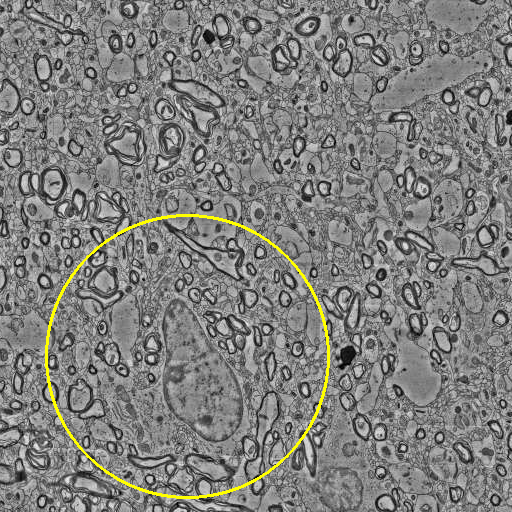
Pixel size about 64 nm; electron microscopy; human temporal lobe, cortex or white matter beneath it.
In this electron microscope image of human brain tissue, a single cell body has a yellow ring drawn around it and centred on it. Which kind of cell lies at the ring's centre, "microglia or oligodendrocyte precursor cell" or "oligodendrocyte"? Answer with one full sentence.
It is a microglial cell or oligodendrocyte precursor cell whose cell body lies at the centre of the yellow ring here.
